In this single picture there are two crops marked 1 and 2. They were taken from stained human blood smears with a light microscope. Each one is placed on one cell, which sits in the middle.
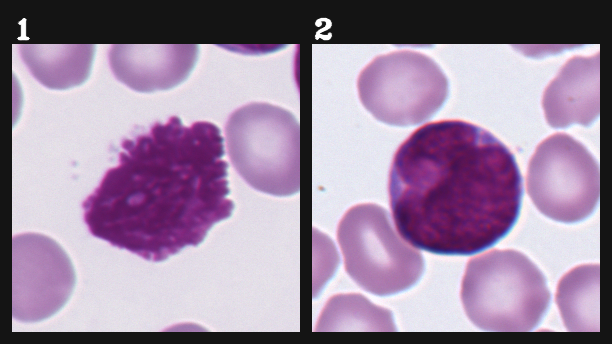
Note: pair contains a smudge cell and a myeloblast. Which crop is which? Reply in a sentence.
As for the pair, crop 1 is a smudge cell and crop 2 is a myeloblast.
